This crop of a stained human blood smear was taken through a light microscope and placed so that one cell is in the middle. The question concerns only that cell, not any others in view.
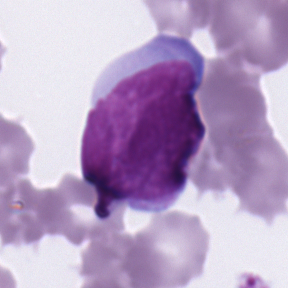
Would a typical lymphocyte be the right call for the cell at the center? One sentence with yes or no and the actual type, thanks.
No, the central cell is identified not as a typical lymphocyte but as a myeloblast.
